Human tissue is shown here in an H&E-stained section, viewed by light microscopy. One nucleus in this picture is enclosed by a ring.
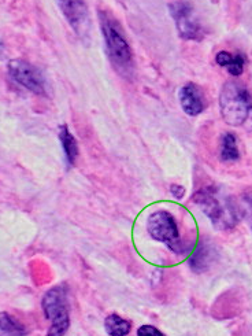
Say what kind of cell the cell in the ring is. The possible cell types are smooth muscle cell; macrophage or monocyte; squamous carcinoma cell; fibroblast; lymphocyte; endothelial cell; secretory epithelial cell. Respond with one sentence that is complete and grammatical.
Among the cells in this section, the cell in the ring is a macrophage or monocyte.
